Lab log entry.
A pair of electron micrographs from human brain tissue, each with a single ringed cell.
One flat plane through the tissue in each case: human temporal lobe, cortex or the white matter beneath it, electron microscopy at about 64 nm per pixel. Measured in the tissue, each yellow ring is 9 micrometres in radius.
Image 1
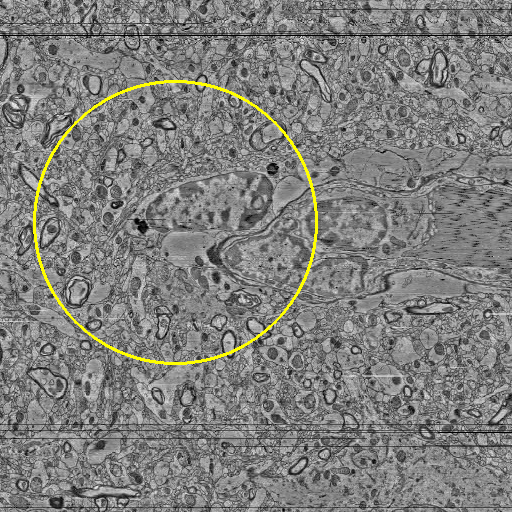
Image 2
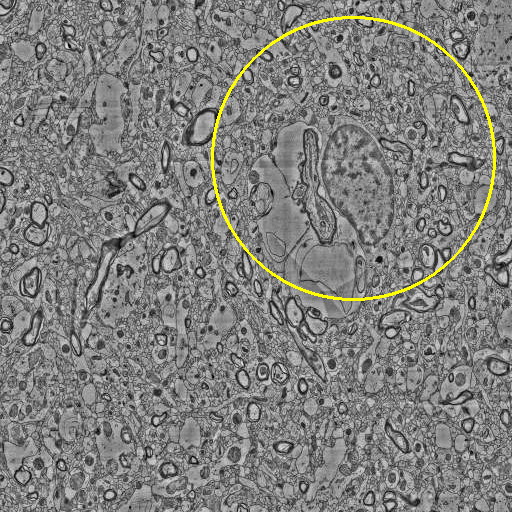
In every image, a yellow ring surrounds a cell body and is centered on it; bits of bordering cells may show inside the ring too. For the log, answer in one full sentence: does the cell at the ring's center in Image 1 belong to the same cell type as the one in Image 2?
No, the cells at the ring centers in Image 1 and Image 2 are of separate types.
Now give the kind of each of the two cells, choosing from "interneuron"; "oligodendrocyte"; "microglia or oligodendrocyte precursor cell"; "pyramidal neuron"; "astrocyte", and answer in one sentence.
The cell in the first picture is a microglial cell or oligodendrocyte precursor cell, and the cell in the second is an oligodendrocyte.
